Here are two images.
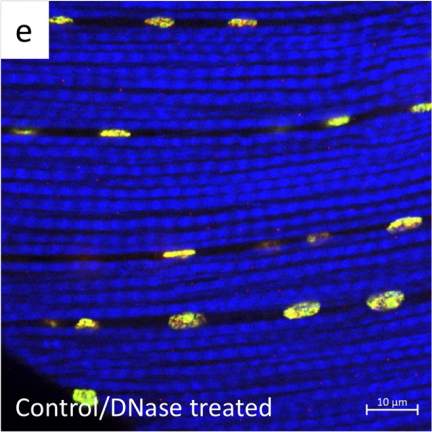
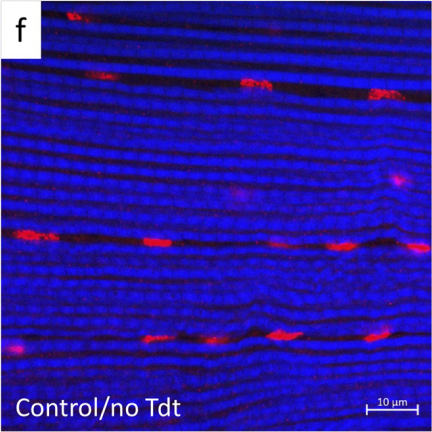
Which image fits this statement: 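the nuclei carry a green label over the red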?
the first image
